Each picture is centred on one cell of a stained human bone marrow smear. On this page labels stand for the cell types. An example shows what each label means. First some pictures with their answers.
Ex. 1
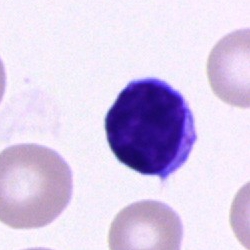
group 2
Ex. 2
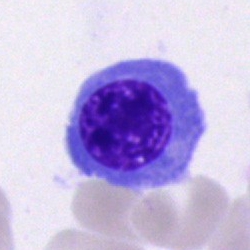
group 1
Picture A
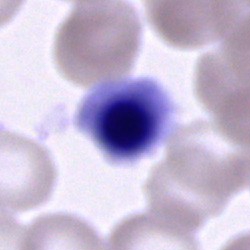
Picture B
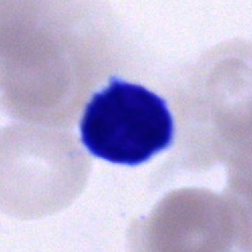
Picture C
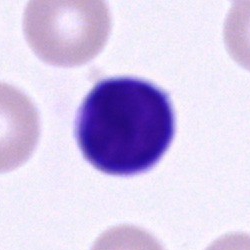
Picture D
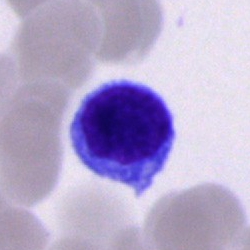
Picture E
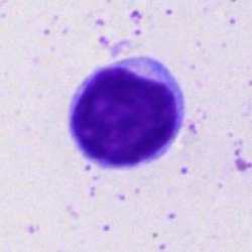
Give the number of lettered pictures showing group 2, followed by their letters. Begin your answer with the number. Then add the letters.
Count: 4 (B, C, D, E)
